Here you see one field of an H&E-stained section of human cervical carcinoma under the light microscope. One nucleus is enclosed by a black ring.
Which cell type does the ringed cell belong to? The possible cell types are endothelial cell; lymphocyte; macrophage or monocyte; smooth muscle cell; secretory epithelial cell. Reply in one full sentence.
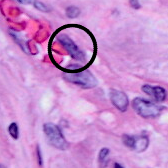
Assigned to a cell type, the ringed cell is an endothelial cell.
